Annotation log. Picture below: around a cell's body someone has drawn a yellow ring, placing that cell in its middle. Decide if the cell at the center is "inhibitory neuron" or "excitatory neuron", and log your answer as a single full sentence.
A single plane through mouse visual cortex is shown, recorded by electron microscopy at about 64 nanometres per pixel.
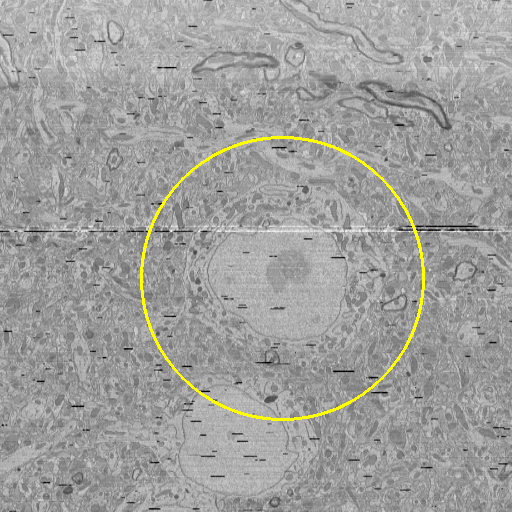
My entry records an inhibitory neuron as the cell sitting at the center of the yellow ring.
